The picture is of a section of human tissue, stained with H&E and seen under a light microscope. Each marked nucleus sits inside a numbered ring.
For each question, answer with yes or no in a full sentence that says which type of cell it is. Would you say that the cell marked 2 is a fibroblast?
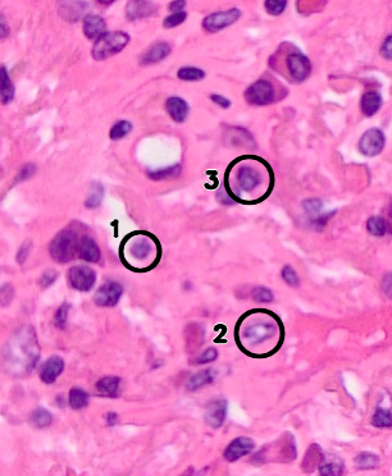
Yes, the one numbered 2 is a fibroblast.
